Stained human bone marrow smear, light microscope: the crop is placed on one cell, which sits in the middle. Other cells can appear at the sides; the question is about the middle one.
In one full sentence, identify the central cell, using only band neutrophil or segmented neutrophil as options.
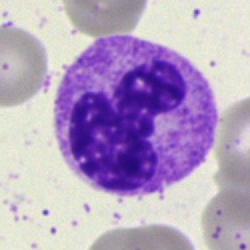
What sits at the centre of this crop is a segmented neutrophil.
